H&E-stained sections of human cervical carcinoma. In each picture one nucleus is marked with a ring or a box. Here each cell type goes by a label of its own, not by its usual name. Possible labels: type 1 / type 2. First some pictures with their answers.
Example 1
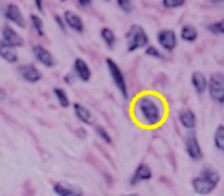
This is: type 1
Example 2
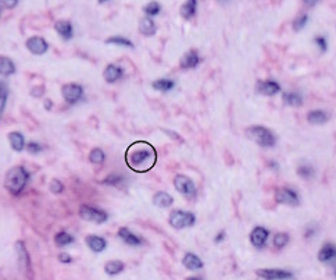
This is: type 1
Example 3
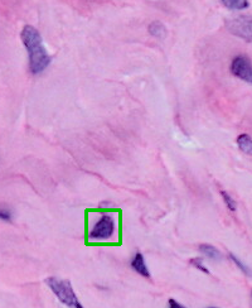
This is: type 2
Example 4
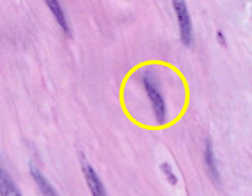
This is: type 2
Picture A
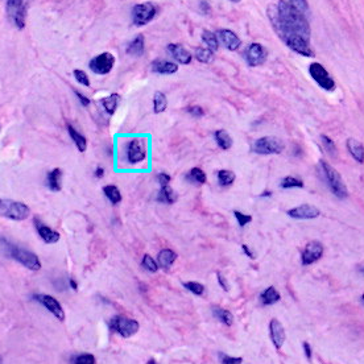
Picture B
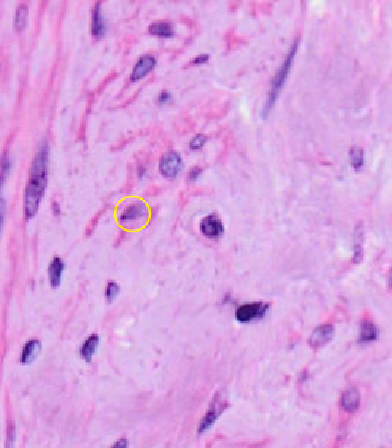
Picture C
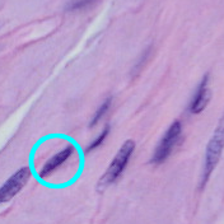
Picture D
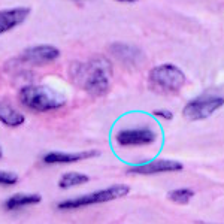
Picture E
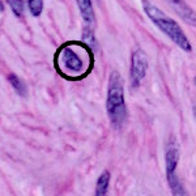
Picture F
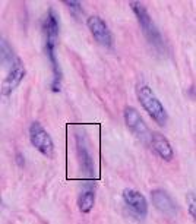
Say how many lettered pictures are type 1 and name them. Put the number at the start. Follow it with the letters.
Count: 3 (B, E, F)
